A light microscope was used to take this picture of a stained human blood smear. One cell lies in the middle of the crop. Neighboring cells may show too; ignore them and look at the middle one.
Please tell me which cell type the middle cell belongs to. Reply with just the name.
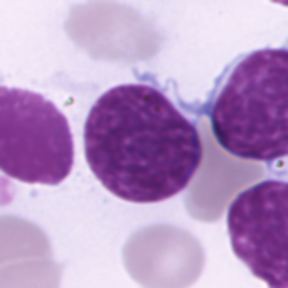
myeloblast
